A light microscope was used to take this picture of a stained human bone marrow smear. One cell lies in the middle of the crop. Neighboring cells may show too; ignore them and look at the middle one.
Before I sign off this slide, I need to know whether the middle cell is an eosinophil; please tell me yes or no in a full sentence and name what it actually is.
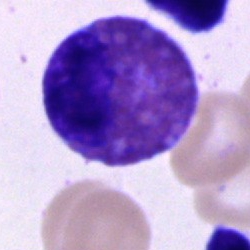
Yes, the cell positioned at the centre of the crop is an eosinophil.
